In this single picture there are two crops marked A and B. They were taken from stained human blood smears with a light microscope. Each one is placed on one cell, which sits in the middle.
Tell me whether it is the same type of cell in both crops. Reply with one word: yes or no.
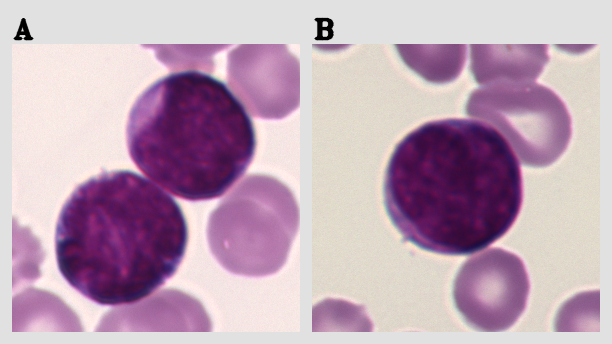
yes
